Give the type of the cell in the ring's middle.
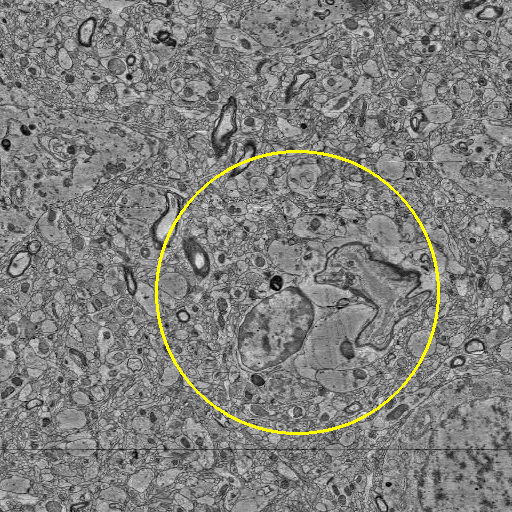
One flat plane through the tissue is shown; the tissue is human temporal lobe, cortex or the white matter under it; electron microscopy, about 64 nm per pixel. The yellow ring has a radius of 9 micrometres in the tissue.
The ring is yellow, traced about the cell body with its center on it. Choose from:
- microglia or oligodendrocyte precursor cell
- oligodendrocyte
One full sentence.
Here, a microglial cell or oligodendrocyte precursor cell is the cell lying at the center of the yellow ring.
